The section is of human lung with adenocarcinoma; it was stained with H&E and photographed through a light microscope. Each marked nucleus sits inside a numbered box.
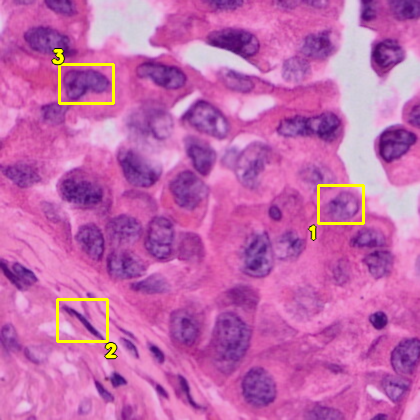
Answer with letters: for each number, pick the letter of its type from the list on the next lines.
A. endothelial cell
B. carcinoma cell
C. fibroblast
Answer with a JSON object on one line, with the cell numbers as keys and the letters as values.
{"1": "B", "2": "C", "3": "B"}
